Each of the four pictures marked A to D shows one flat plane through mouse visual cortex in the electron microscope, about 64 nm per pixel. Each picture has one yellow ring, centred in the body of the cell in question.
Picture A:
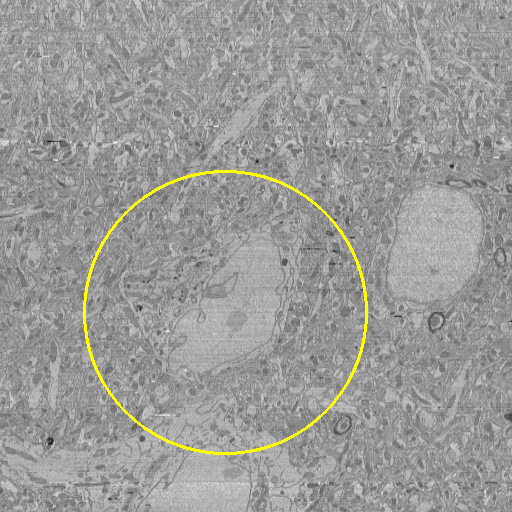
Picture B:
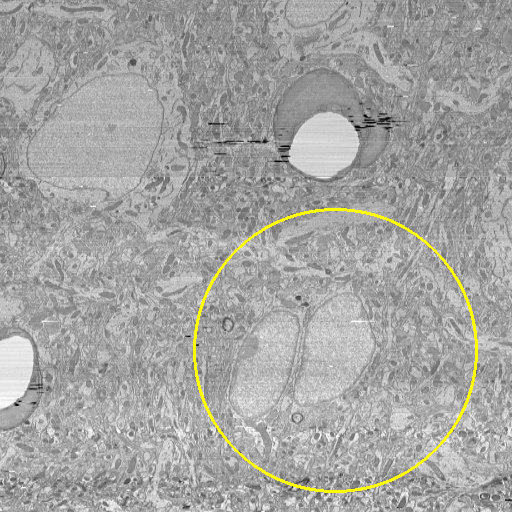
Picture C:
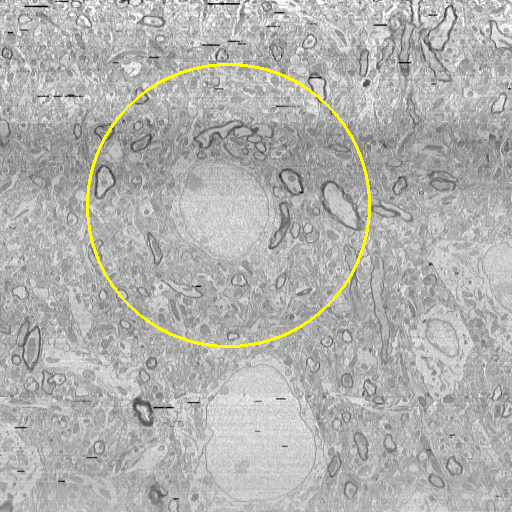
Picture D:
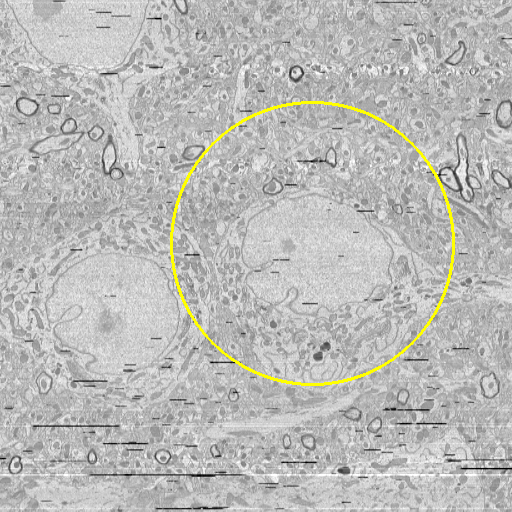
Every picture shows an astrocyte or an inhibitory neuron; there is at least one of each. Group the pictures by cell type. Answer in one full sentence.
Pictures B and C show astrocytes; pictures A and D show inhibitory neurons.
